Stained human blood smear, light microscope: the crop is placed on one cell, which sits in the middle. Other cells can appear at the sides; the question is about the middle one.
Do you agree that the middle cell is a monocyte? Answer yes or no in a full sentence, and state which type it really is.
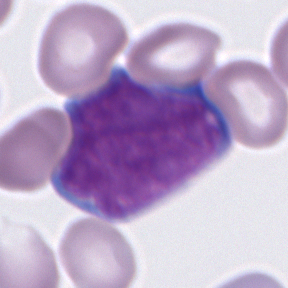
No, the cell in the centre is to be called a myeloblast instead of a monocyte.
